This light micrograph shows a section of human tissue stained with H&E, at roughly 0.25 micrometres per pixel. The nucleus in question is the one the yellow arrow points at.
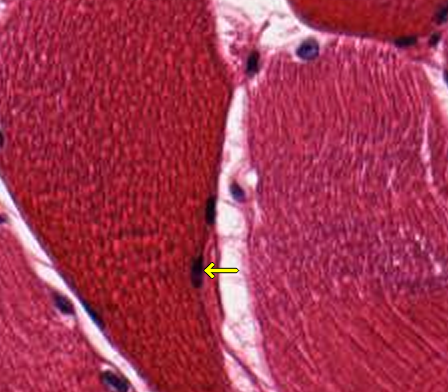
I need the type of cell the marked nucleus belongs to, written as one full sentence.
The marked nucleus belongs to a skeletal muscle fibre.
